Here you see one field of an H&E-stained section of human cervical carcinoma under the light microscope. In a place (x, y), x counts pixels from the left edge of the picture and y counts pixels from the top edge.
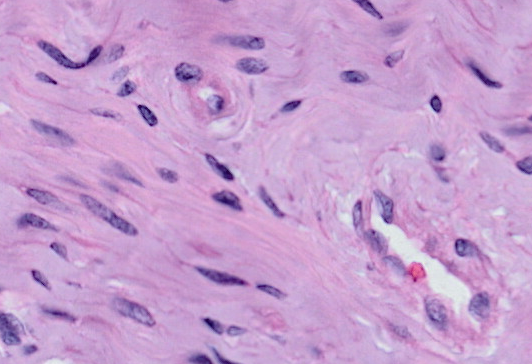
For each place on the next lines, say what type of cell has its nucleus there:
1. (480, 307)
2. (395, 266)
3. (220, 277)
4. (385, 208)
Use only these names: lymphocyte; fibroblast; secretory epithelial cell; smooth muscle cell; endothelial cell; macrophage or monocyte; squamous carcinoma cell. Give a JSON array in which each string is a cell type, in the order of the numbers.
["endothelial cell", "endothelial cell", "fibroblast", "endothelial cell"]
